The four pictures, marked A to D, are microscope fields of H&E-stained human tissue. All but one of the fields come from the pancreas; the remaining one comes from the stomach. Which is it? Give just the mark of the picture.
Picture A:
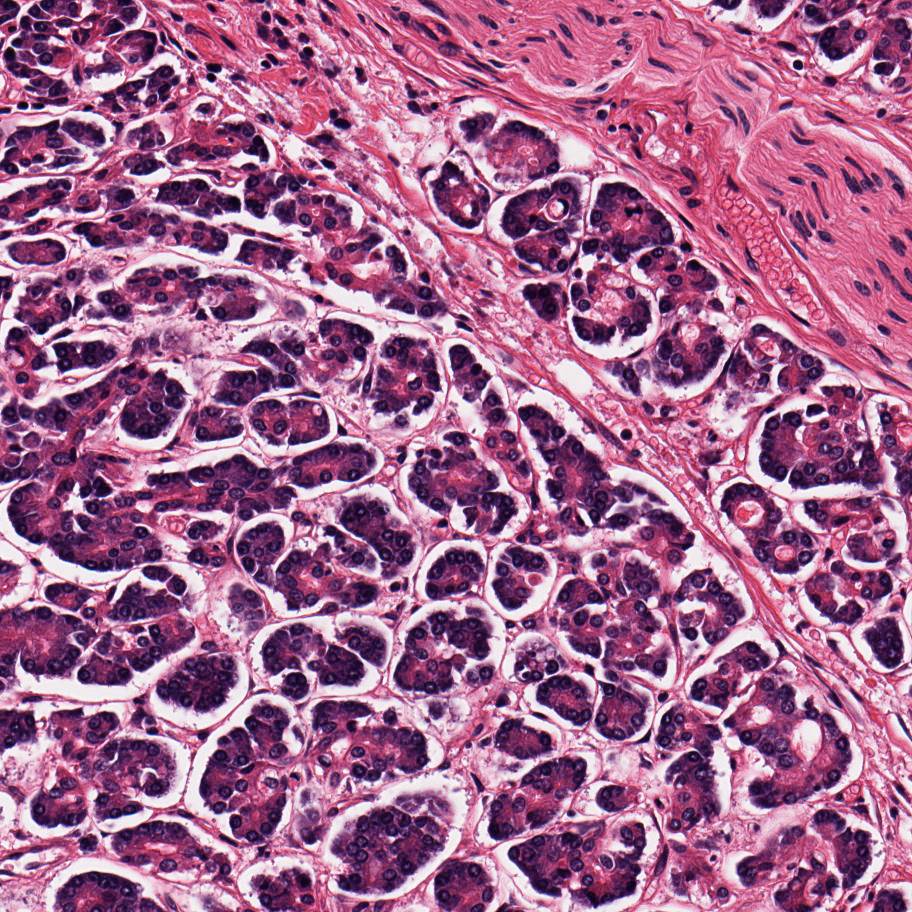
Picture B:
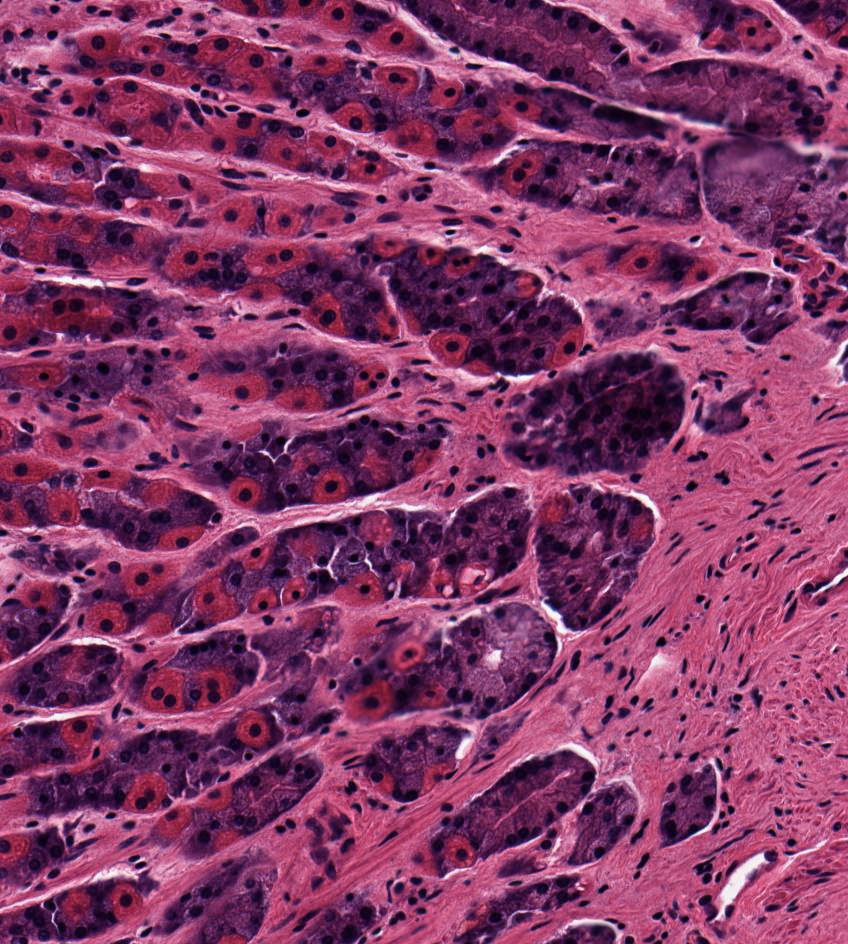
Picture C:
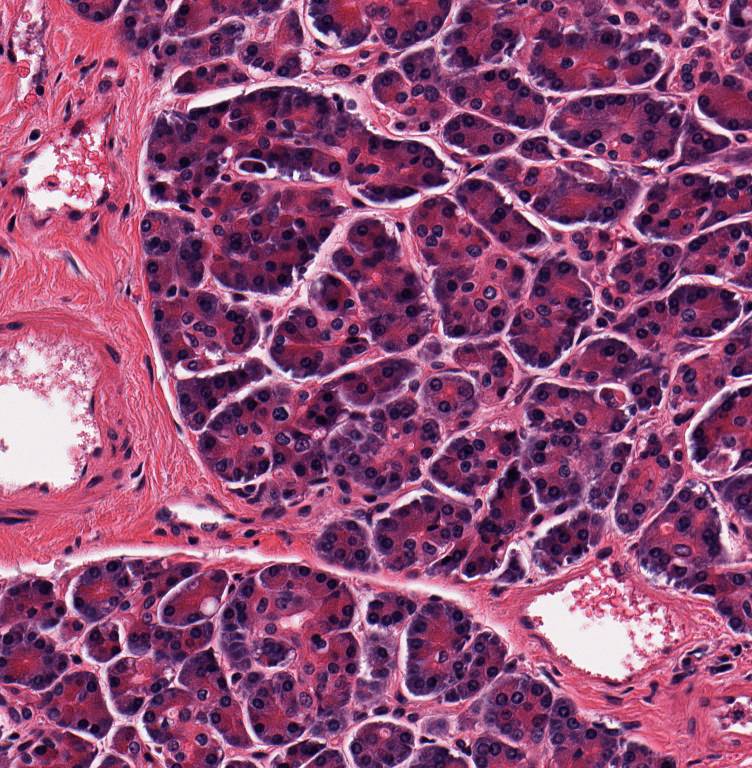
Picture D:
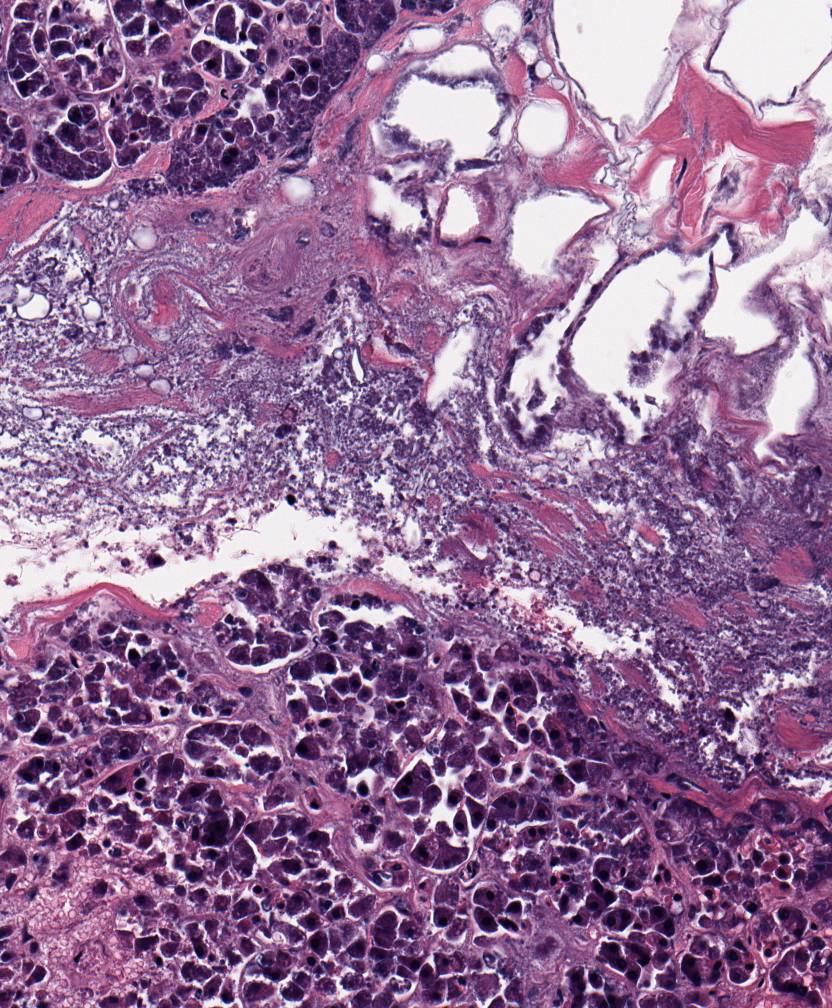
B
